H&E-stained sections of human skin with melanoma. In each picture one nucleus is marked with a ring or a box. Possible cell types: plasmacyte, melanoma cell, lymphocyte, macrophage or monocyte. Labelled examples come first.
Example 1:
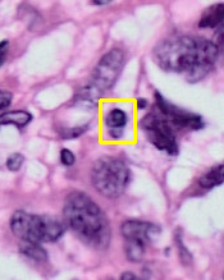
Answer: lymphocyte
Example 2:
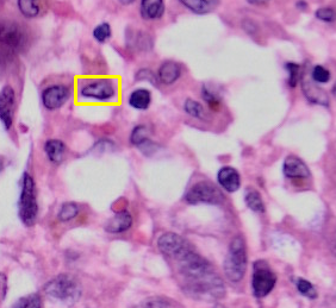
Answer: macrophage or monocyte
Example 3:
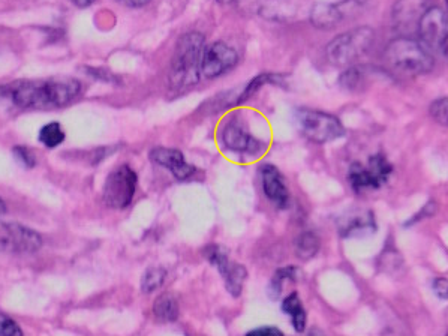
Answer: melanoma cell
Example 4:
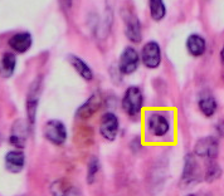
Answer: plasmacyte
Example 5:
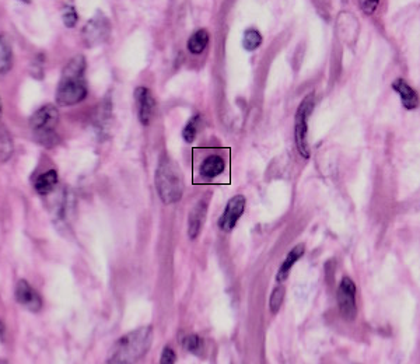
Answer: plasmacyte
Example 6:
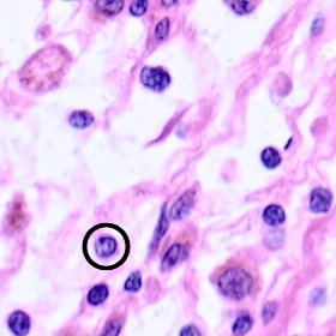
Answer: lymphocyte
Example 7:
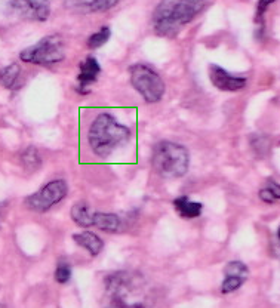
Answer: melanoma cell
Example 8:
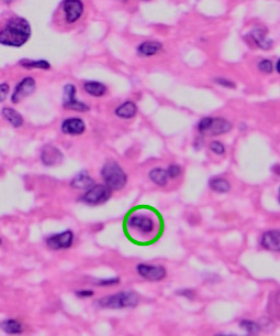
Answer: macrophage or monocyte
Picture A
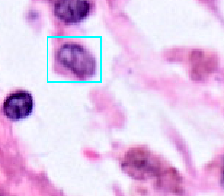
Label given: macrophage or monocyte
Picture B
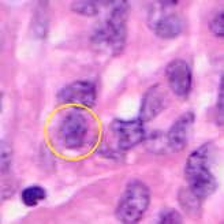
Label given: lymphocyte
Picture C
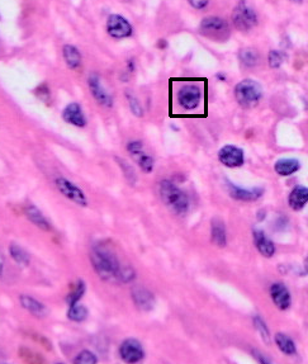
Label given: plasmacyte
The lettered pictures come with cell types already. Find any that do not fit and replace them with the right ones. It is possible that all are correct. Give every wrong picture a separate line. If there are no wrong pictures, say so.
B: melanoma cell, not lymphocyte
